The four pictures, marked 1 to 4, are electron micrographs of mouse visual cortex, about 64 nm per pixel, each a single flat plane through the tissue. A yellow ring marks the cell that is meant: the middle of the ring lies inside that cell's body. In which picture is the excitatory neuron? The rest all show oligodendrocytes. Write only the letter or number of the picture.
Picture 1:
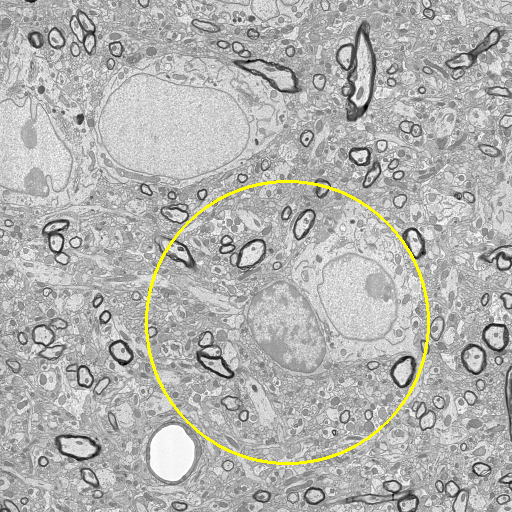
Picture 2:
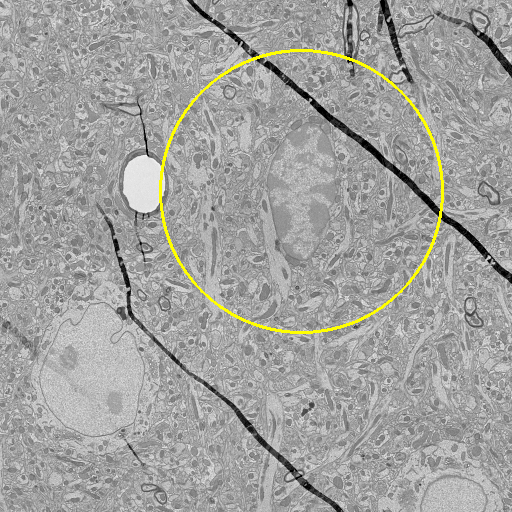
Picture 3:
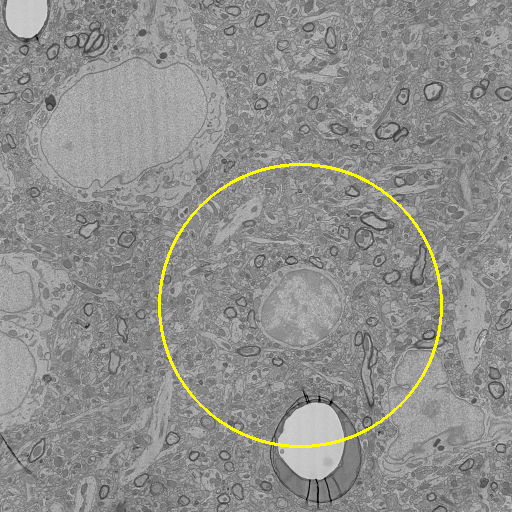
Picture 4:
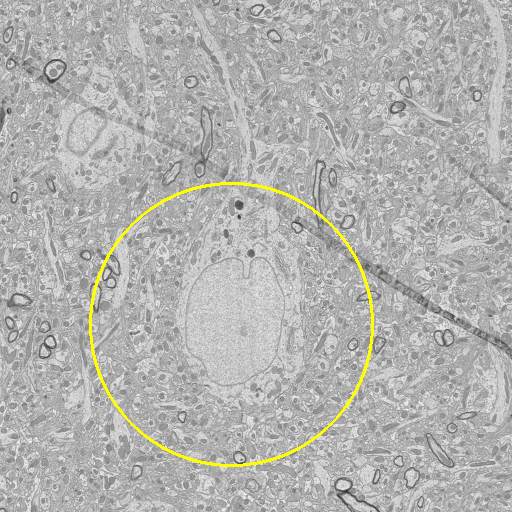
4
